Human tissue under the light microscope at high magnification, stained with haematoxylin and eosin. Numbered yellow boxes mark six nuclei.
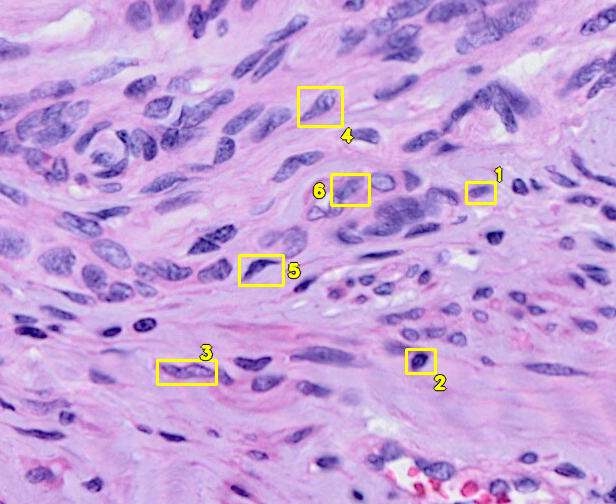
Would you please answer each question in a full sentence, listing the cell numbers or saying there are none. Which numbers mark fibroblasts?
So, the cells with numbers 1 and 5 are fibroblasts.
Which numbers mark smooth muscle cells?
The cells to which the numbers 3 and 4 refer are smooth muscle cells.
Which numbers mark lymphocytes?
Of the numbered cells, only cell 2 is a lymphocyte.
